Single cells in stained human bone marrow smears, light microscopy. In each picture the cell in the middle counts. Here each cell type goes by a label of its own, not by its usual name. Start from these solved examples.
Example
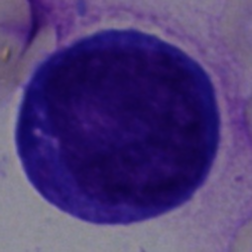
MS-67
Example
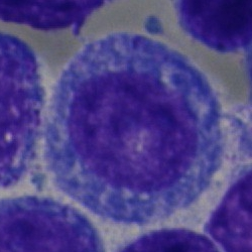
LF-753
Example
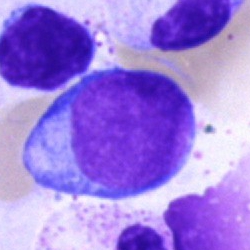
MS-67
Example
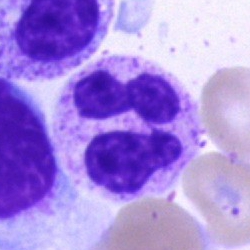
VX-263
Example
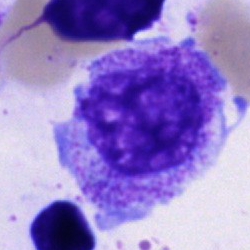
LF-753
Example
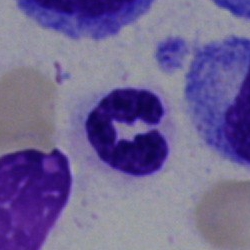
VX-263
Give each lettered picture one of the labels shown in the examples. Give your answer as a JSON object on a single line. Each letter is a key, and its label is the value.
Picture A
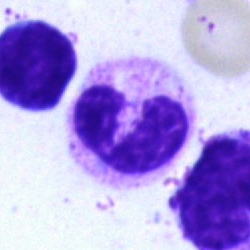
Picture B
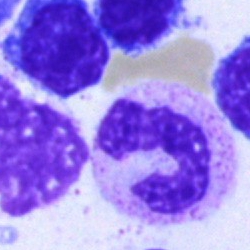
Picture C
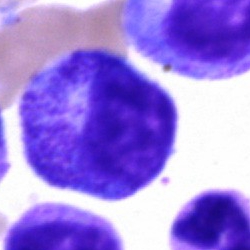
{"A": "VX-263", "B": "VX-263", "C": "LF-753"}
